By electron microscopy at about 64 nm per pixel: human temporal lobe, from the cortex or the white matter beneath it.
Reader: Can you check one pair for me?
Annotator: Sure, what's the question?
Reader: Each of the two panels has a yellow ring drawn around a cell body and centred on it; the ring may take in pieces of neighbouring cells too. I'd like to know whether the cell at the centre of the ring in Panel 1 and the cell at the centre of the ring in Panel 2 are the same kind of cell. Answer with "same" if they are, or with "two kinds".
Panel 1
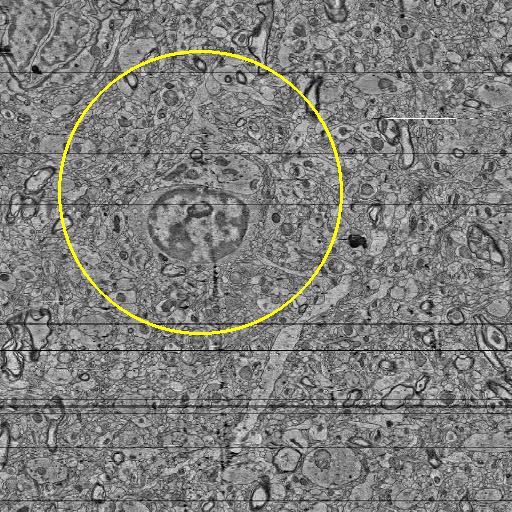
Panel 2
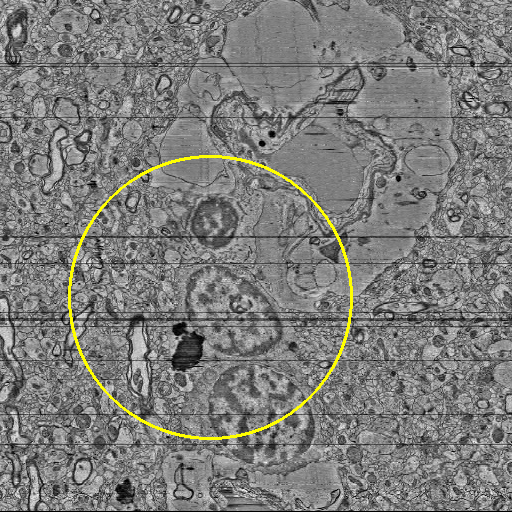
same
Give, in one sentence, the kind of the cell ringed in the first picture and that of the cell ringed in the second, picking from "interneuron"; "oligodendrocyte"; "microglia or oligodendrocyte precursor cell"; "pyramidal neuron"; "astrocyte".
The ring centre holds an oligodendrocyte in each of the two pictures.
